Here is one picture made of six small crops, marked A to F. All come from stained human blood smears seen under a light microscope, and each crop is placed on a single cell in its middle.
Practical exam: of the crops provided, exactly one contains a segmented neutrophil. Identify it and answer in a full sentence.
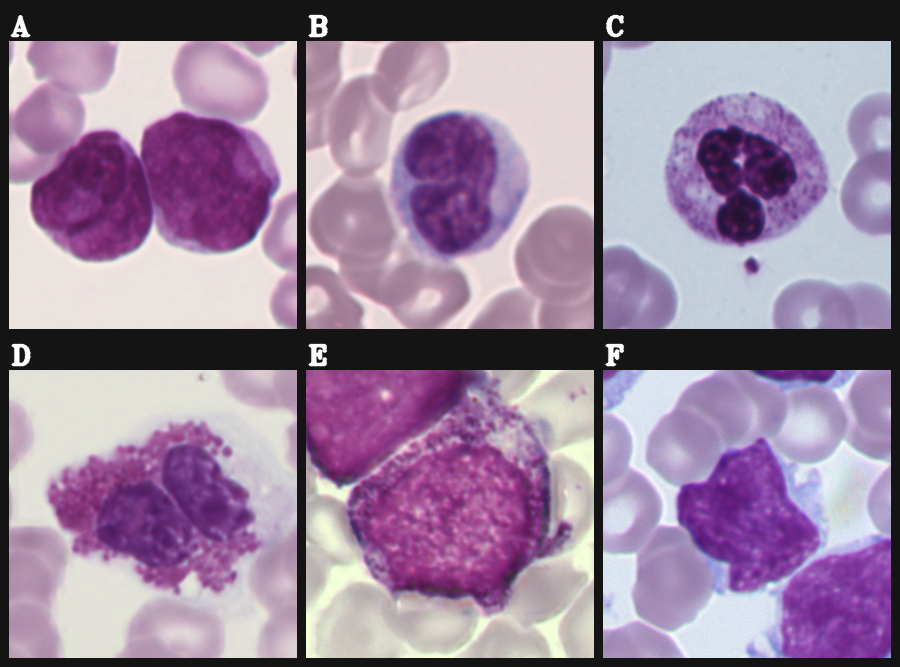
It is the cell in crop C that is a segmented neutrophil.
